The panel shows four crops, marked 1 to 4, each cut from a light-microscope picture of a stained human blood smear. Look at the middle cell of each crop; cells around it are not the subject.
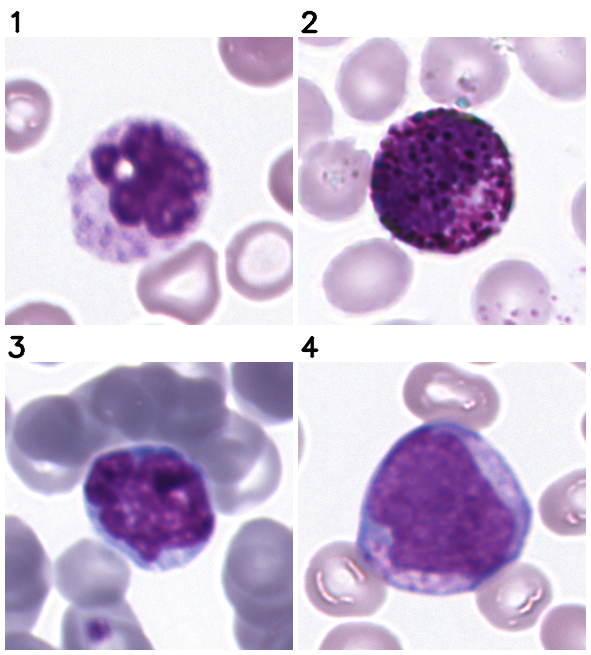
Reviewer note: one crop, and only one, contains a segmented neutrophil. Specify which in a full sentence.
The crop marked 1 is the one that shows a segmented neutrophil.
